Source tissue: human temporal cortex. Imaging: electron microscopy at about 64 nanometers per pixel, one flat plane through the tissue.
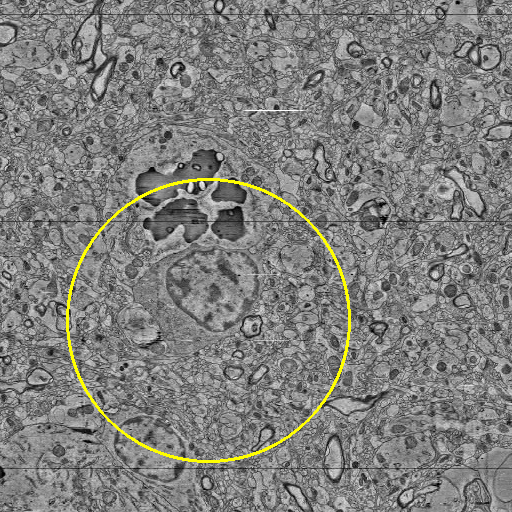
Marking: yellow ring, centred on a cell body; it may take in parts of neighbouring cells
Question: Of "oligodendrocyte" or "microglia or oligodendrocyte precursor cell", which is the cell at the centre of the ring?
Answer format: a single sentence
The ring surrounds the body of an oligodendrocyte.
